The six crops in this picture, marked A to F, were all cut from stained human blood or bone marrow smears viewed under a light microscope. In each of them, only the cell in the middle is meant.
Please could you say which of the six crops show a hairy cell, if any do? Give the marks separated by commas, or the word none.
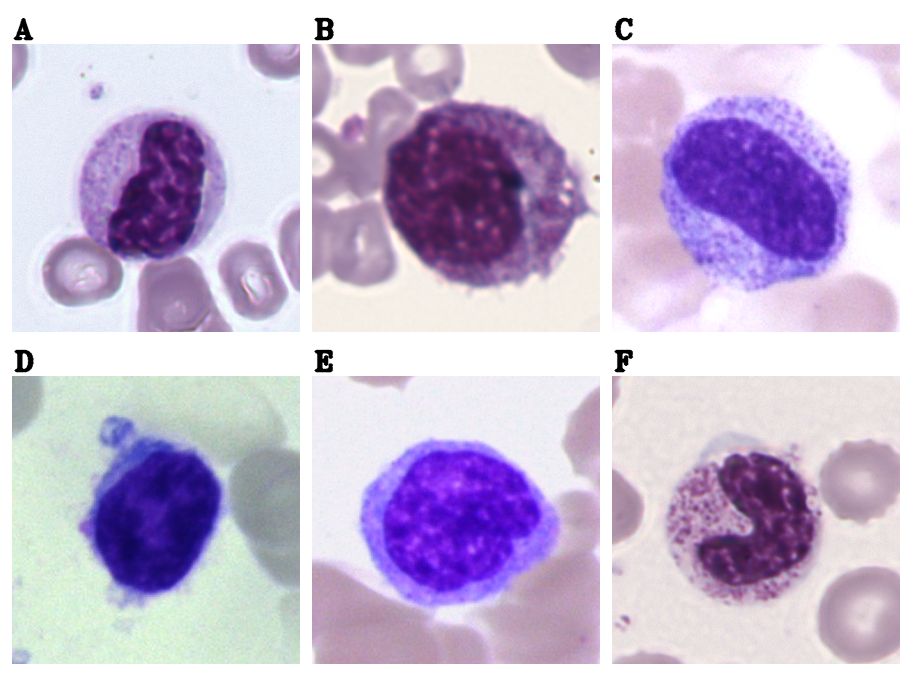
D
